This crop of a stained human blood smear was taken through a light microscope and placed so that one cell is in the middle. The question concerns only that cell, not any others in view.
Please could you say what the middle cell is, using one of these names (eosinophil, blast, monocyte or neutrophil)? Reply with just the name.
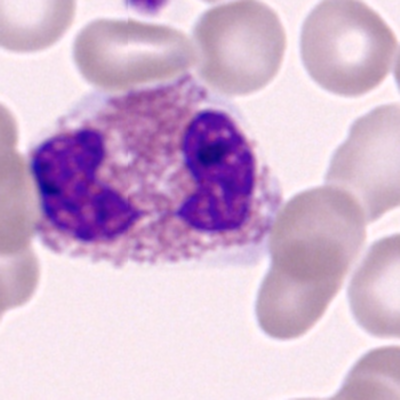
eosinophil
